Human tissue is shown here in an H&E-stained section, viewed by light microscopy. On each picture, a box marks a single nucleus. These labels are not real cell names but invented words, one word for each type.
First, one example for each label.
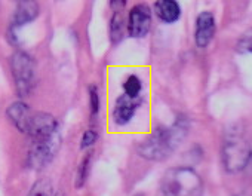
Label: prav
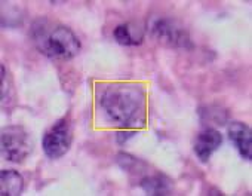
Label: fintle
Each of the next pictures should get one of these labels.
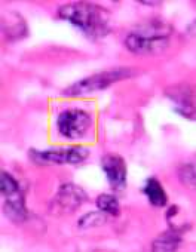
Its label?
prav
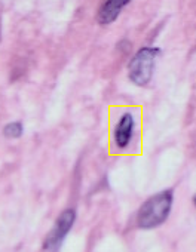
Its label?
prav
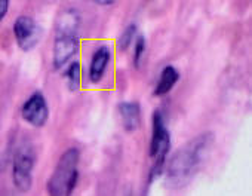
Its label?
prav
